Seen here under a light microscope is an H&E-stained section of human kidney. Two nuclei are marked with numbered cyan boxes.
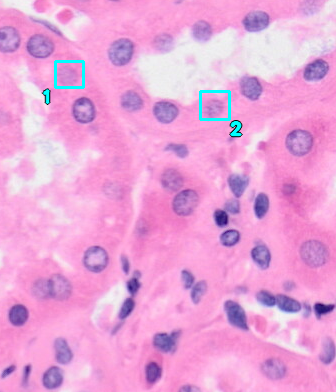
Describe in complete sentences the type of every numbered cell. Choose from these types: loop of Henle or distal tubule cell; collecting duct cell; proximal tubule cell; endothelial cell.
Cell 1 is a proximal tubule cell. Cell 2 is a loop of Henle or distal tubule cell.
